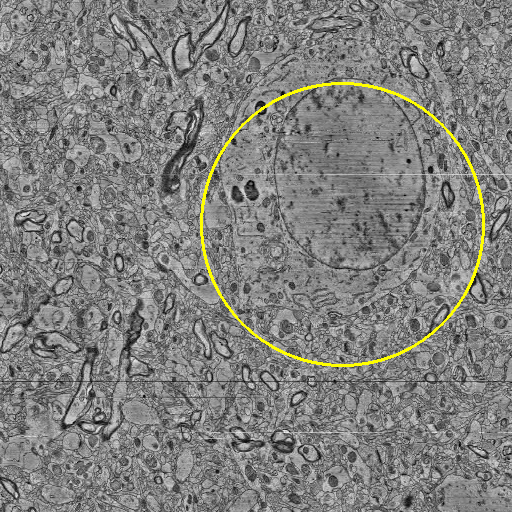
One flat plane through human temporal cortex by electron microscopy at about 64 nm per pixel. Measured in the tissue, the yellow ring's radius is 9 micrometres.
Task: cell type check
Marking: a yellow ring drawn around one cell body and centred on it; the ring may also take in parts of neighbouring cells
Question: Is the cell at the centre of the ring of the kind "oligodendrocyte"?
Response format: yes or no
no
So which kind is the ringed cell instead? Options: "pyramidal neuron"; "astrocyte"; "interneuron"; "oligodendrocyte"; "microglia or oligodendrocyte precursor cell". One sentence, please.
Here, the ring is centred on a pyramidal neuron instead.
